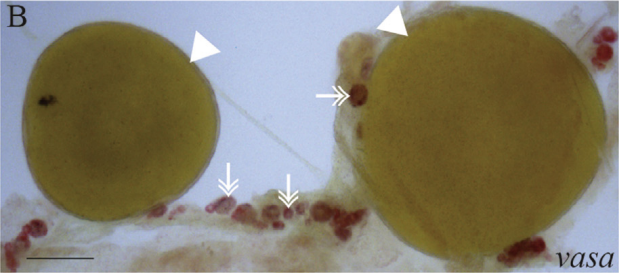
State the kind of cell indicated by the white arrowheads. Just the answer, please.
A: Large, yolky oocytes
